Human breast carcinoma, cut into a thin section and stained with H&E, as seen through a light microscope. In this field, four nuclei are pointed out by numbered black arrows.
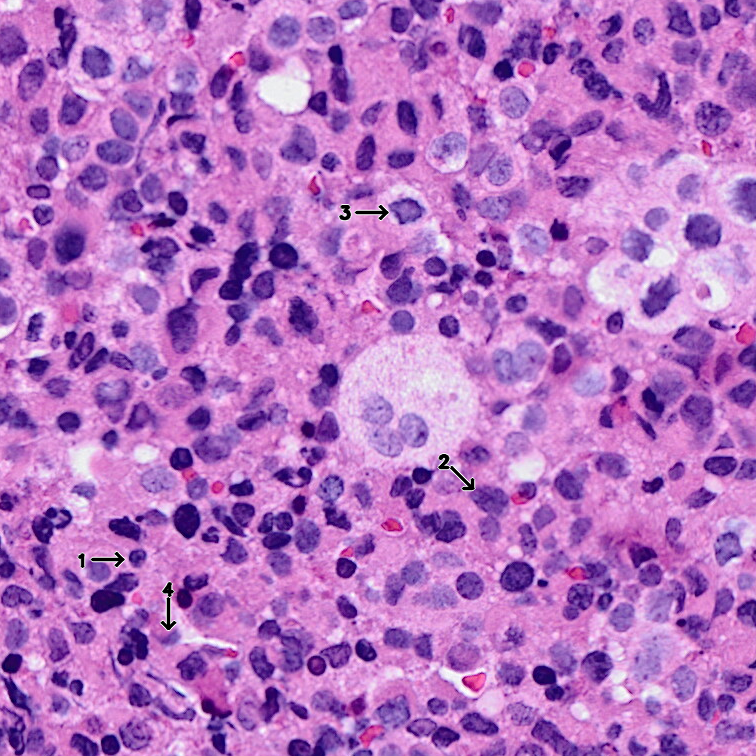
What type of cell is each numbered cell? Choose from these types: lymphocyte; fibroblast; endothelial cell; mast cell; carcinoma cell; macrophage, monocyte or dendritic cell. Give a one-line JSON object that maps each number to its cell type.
{"1": "lymphocyte", "2": "carcinoma cell", "3": "carcinoma cell", "4": "carcinoma cell"}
